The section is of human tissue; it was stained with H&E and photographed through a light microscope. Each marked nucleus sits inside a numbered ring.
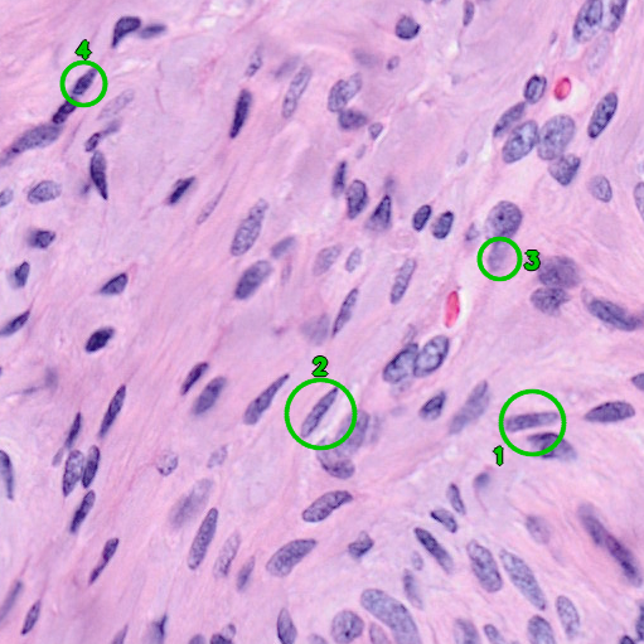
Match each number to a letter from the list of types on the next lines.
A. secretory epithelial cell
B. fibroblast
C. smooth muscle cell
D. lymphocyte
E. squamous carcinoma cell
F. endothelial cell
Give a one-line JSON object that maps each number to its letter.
{"1": "B", "2": "B", "3": "F", "4": "B"}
